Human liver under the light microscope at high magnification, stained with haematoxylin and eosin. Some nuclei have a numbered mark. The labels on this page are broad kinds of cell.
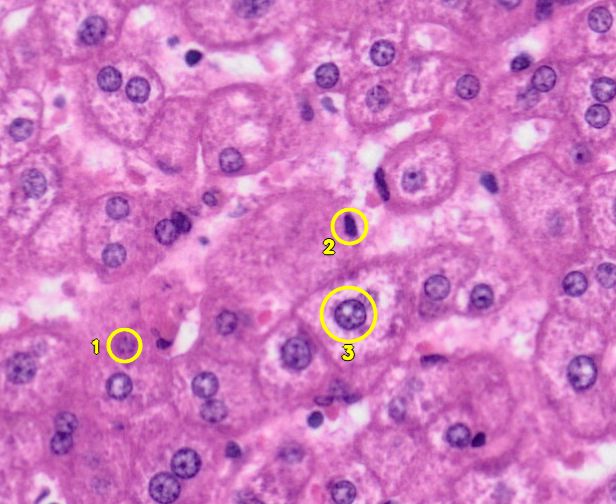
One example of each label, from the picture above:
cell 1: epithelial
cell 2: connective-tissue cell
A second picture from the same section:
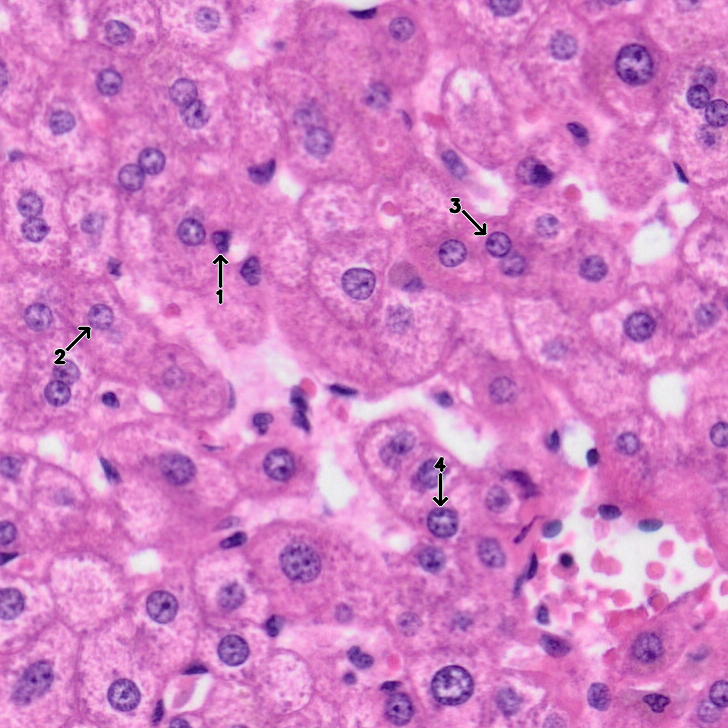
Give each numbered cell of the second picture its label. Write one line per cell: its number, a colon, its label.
1: connective-tissue cell
2: epithelial
3: epithelial
4: epithelial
